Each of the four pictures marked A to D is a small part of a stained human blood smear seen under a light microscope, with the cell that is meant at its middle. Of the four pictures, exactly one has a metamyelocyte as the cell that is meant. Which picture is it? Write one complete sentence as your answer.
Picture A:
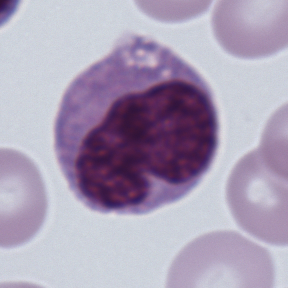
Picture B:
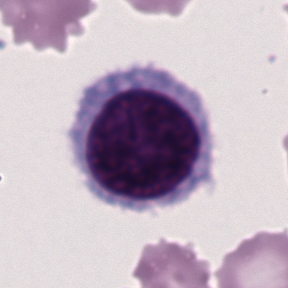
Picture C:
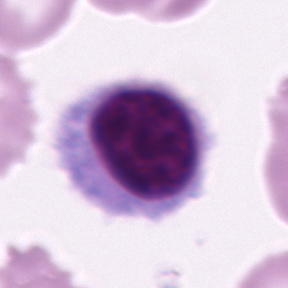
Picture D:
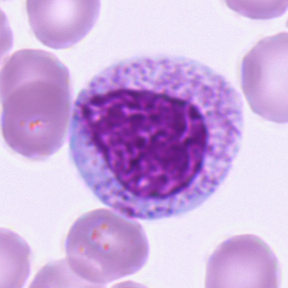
The metamyelocyte is the one in picture D.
